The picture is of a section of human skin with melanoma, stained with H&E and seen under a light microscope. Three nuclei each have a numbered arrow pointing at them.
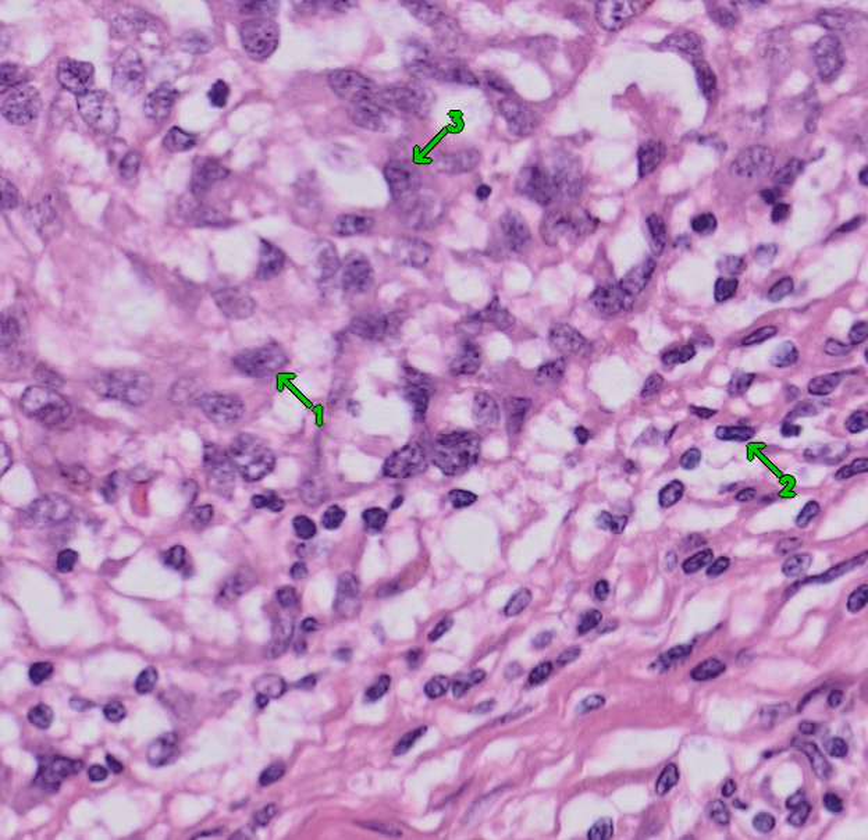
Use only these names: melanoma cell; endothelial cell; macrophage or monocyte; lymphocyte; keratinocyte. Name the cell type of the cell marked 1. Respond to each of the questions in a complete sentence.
The cell to which the number 1 is assigned is a melanoma cell.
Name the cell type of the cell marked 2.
In this section, number 2 marks a lymphocyte.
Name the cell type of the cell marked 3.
The expected answer is that cell 3 is a melanoma cell.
